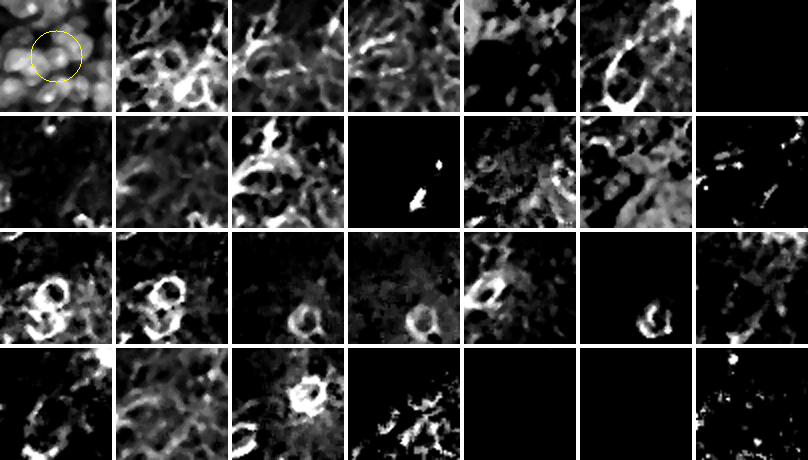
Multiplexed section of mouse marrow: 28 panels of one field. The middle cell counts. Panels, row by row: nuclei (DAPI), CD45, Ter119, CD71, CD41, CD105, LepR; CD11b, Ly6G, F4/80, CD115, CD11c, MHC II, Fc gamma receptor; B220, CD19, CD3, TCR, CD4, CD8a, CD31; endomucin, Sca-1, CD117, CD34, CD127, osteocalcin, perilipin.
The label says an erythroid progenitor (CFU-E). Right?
Right.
